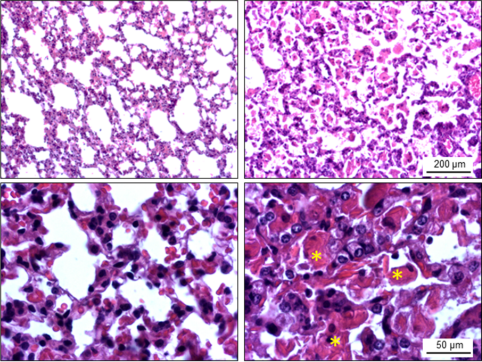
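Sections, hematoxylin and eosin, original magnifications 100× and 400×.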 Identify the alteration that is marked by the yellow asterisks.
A: Deposits of eosinophilic materials.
